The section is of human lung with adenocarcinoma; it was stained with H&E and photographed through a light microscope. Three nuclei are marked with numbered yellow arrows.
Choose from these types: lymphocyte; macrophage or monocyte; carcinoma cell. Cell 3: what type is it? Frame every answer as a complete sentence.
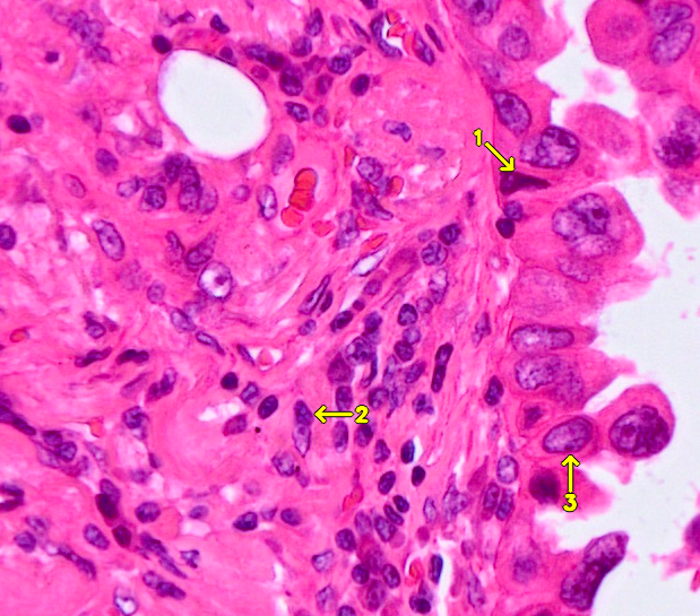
Cell 3, as marked in the section, is a carcinoma cell.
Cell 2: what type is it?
Here the cell numbered 2 is a lymphocyte.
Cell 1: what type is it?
Belonging to a carcinoma cell is the nucleus that carries the number 1.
